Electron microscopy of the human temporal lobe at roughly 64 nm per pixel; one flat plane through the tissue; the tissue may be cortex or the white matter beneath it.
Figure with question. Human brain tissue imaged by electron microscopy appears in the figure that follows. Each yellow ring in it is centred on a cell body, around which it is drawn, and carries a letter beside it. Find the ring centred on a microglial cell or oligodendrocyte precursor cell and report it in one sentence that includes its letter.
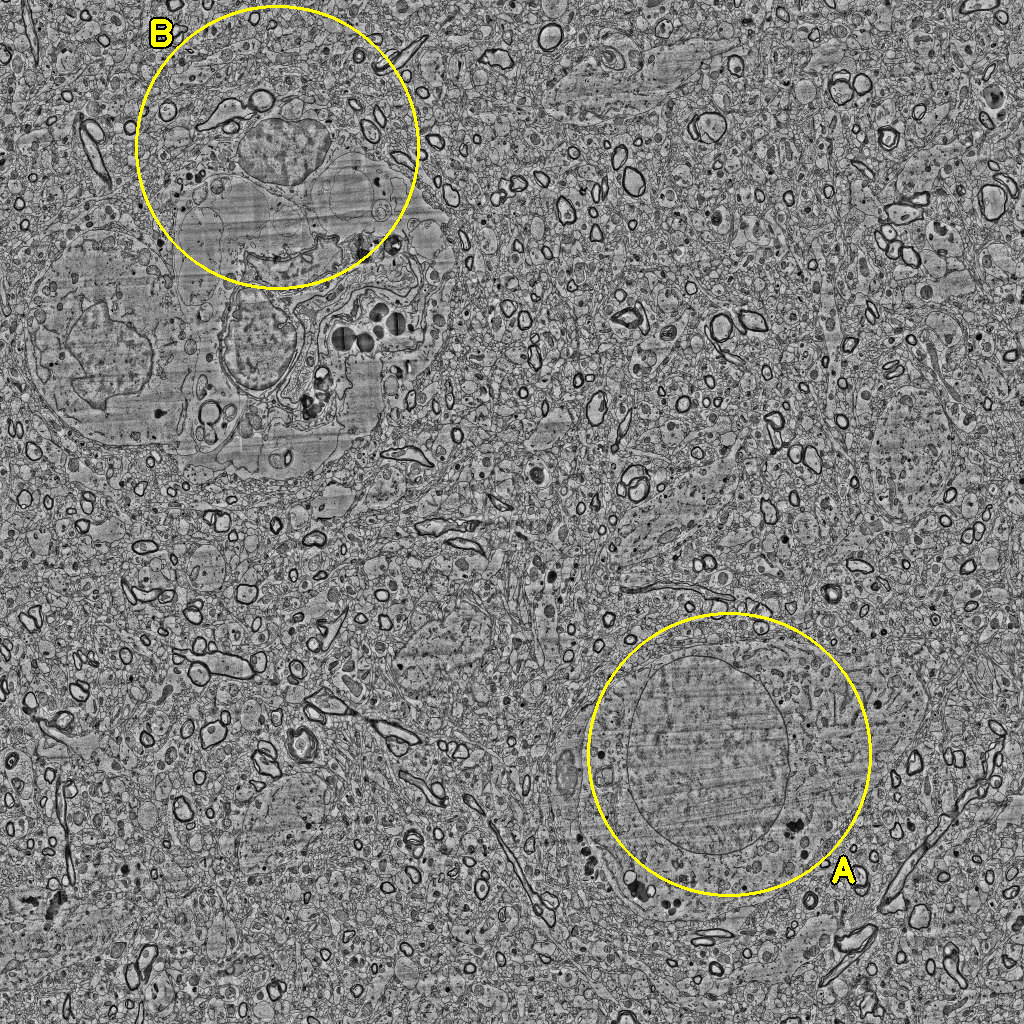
Ring B is the one centred on it.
